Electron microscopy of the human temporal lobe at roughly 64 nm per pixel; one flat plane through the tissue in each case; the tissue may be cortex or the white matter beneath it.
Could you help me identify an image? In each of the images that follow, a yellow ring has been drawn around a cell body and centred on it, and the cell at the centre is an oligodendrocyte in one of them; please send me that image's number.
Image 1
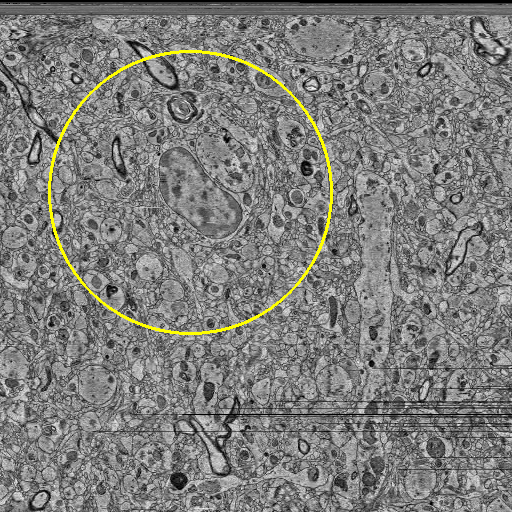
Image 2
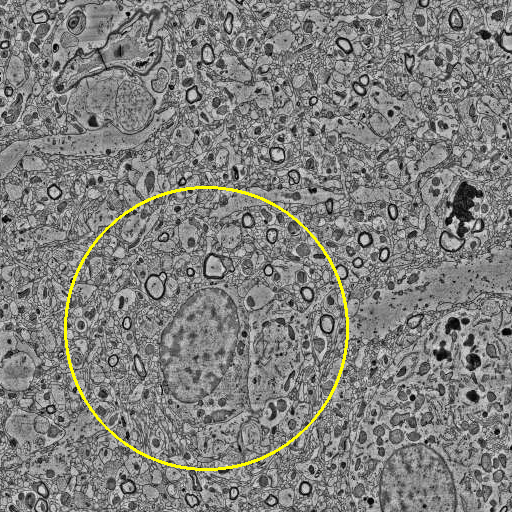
2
